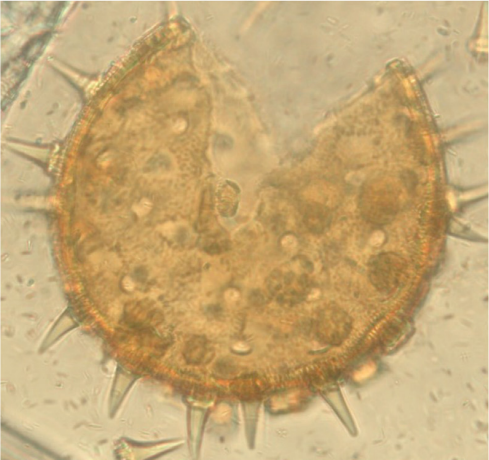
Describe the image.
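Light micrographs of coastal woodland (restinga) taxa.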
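Single large pollen grain seen in light microscopy, split open along one side so that it gapes in a V shape. Many round apertures are scattered across the whole grain rather than confined to a single line. The wall is thick and yellow-brown, with a finely granular to beaded outer layer. Small debris and a fragment of another particle lie in the surrounding mounting medium.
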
